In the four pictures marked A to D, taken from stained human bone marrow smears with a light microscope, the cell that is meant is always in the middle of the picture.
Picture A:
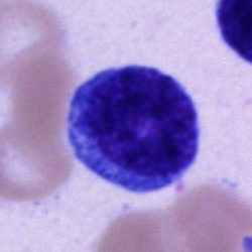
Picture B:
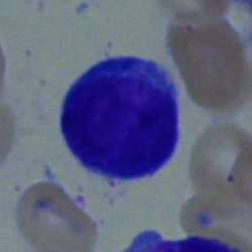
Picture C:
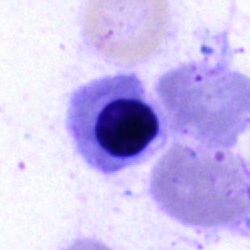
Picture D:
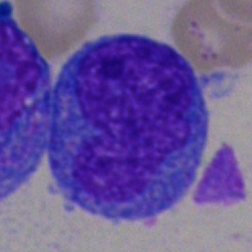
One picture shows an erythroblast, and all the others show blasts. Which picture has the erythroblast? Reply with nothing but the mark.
C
